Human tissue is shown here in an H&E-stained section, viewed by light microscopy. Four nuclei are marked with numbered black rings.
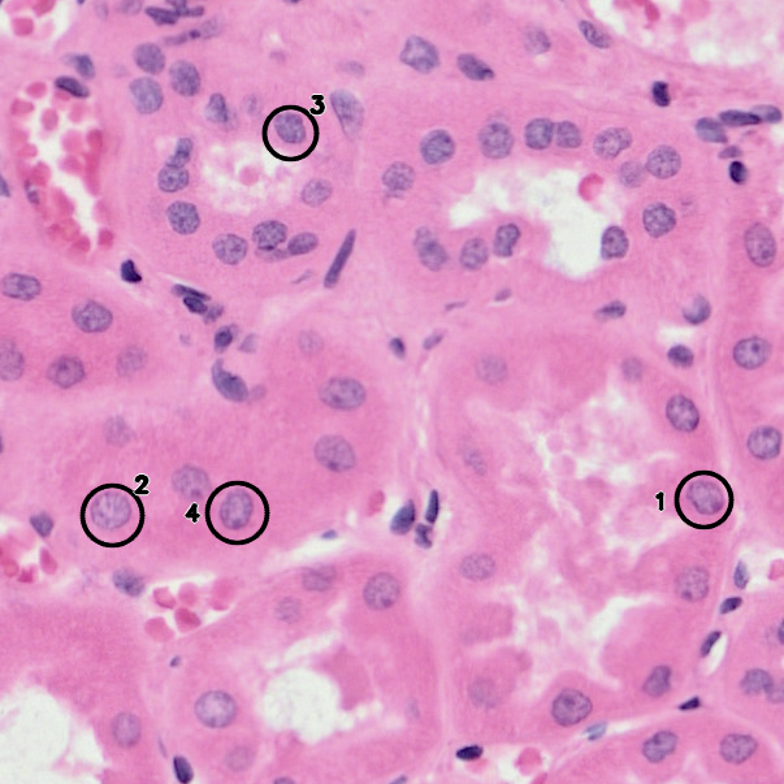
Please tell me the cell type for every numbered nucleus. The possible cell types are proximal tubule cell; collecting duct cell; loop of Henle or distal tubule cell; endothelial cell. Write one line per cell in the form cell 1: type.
cell 1: proximal tubule cell
cell 2: proximal tubule cell
cell 3: loop of Henle or distal tubule cell
cell 4: proximal tubule cell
